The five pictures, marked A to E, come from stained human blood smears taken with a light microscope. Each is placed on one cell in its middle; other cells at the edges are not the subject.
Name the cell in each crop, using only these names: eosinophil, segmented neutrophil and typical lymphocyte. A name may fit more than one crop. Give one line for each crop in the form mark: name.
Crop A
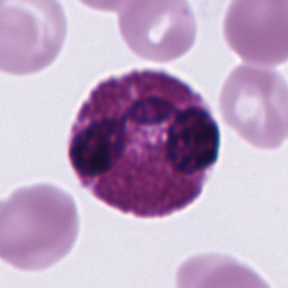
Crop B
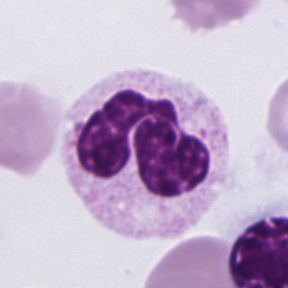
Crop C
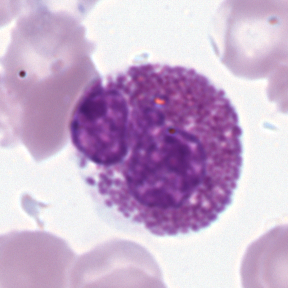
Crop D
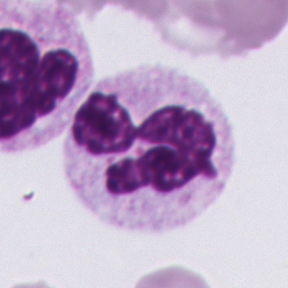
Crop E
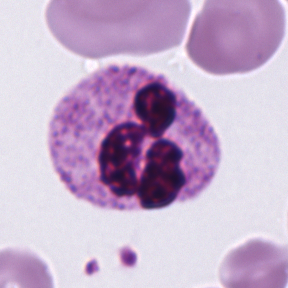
A: eosinophil
B: segmented neutrophil
C: eosinophil
D: segmented neutrophil
E: segmented neutrophil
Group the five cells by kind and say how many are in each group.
segmented neutrophil: 3
eosinophil: 2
